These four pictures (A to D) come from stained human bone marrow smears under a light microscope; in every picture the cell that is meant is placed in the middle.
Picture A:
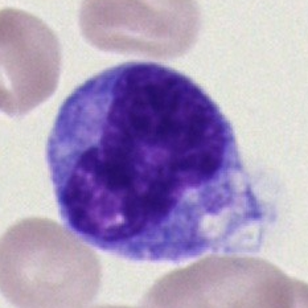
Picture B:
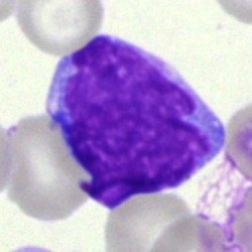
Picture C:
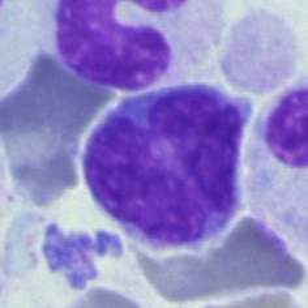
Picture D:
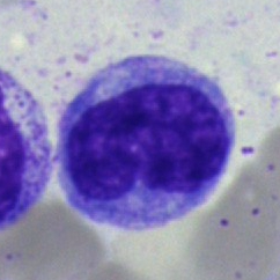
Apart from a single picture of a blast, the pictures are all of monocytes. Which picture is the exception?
B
